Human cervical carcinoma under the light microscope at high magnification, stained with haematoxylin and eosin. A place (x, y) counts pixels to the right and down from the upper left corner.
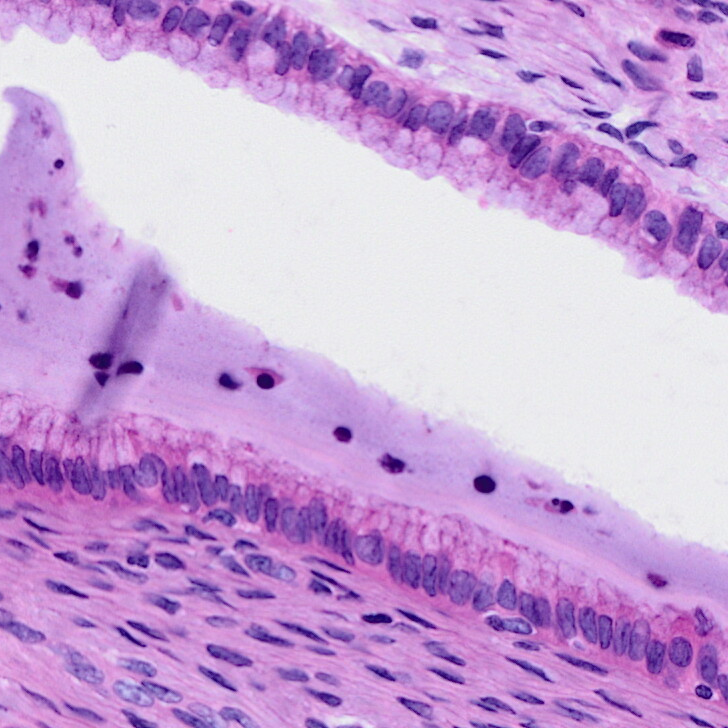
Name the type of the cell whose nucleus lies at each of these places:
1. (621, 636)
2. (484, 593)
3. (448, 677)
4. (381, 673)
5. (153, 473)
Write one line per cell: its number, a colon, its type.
1: secretory epithelial cell
2: secretory epithelial cell
3: fibroblast
4: fibroblast
5: secretory epithelial cell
